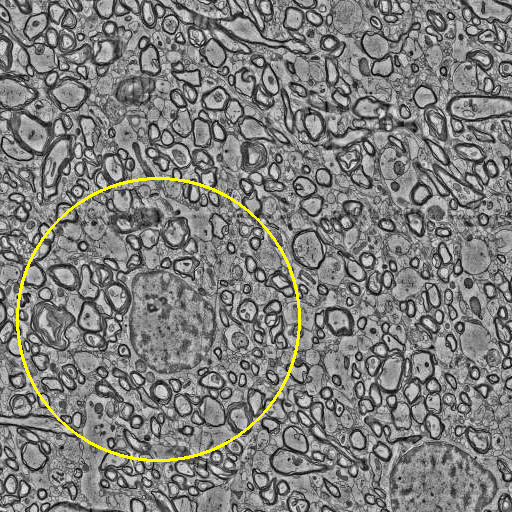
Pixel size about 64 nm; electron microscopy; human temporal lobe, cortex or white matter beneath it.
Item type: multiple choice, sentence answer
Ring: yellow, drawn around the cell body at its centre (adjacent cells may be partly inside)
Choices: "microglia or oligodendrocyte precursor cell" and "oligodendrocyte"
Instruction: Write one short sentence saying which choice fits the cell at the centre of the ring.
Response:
This ring is drawn around an oligodendrocyte.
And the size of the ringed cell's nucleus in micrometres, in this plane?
Approximately 7 by 6 micrometers in this plane.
